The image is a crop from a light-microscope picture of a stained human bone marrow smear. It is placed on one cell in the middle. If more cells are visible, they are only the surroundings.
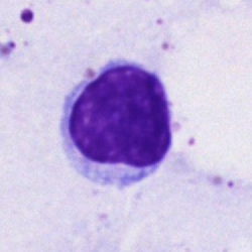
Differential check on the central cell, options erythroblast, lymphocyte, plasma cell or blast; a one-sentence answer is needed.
The cell of interest, in the center, is a lymphocyte.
